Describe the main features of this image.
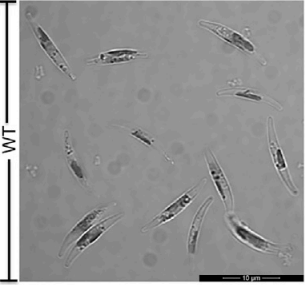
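Single diatom cells in bright field, mostly elongated and spindle-shaped. Cells lie singly or in small loose groups without any regular orientation. The central body shows granular, darker contents against clear ends. A few smaller, irregular particles lie in the background.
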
